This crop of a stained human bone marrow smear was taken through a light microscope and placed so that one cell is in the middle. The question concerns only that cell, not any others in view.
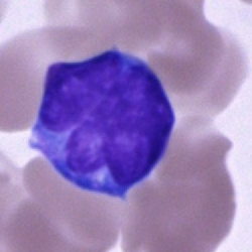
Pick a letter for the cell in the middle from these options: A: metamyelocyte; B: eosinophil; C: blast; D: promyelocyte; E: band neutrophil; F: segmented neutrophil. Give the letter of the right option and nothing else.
C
